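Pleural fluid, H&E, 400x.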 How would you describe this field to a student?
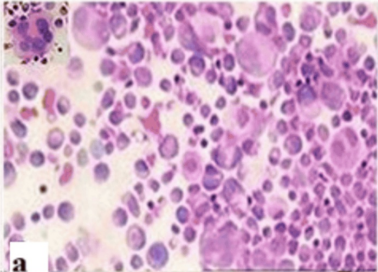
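The cells are round with a round nucleus often placed to one side. Cytoplasm is pink and, in the larger cells, abundant. The cells vary much in size, with some very large forms among smaller ones.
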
